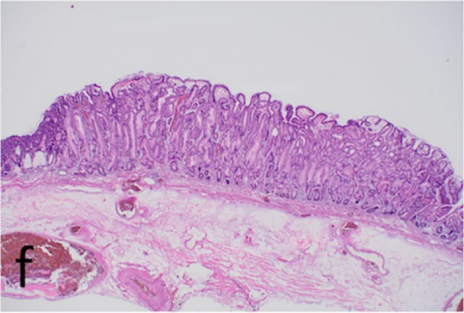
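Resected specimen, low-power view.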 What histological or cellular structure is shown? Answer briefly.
Hyperplastic-like elongated gland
